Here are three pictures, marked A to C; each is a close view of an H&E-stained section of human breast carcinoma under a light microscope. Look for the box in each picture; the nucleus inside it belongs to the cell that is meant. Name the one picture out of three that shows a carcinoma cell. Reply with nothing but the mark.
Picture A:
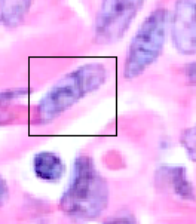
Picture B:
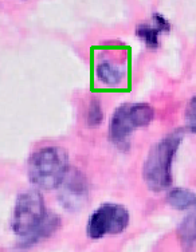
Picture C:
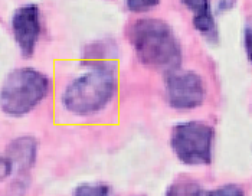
C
